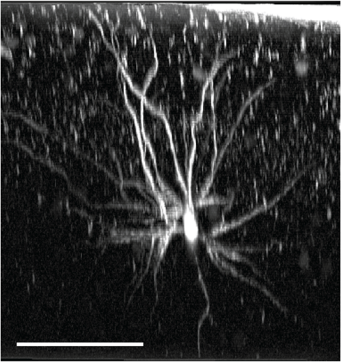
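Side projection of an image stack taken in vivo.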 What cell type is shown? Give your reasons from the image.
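A bright cell body with many processes radiating in all directions. Several processes of similar thickness run upward rather than one dominant process. No single thick trunk ending in a tuft at the surface.
Interneuron.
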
